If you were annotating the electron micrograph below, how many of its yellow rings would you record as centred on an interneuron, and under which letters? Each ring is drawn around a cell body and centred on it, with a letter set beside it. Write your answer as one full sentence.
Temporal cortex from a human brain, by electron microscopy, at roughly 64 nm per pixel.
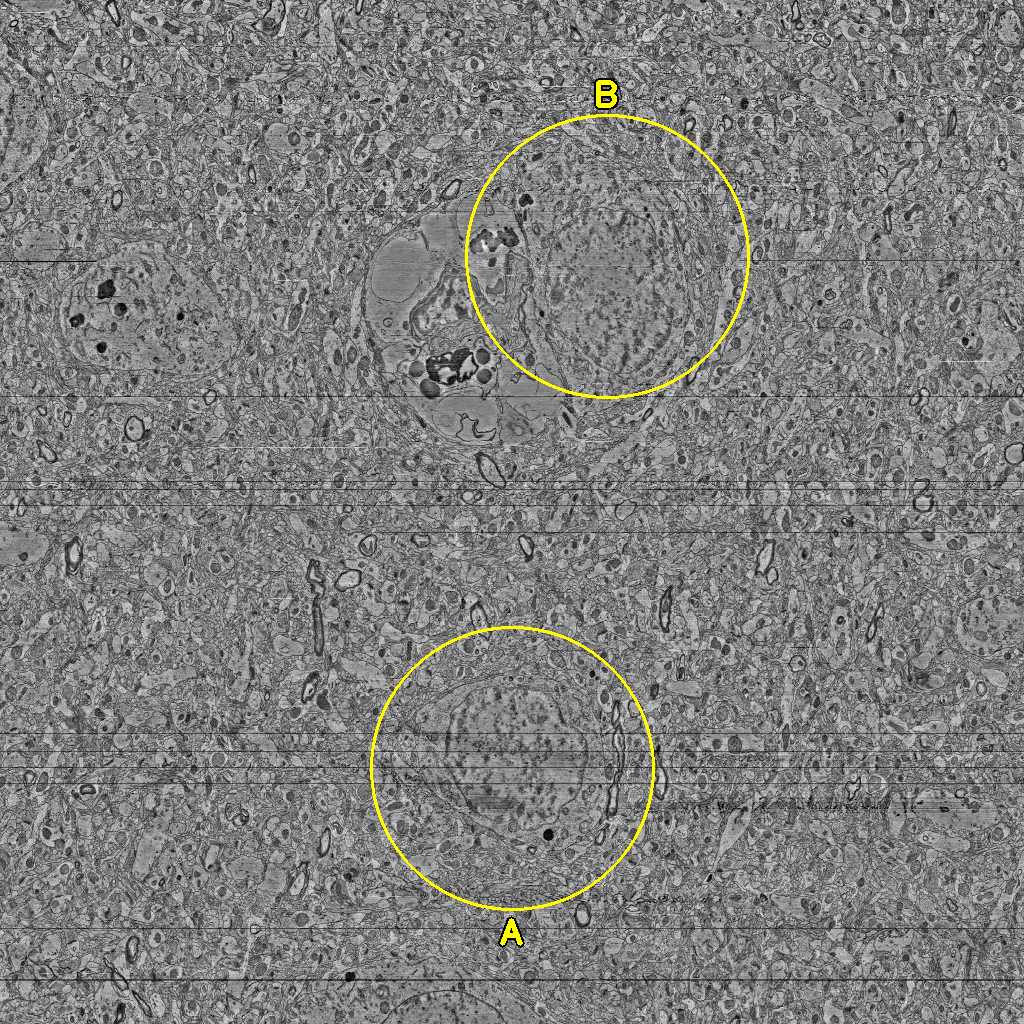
Marked by the letters A and B, two rings are each centred on an interneuron.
